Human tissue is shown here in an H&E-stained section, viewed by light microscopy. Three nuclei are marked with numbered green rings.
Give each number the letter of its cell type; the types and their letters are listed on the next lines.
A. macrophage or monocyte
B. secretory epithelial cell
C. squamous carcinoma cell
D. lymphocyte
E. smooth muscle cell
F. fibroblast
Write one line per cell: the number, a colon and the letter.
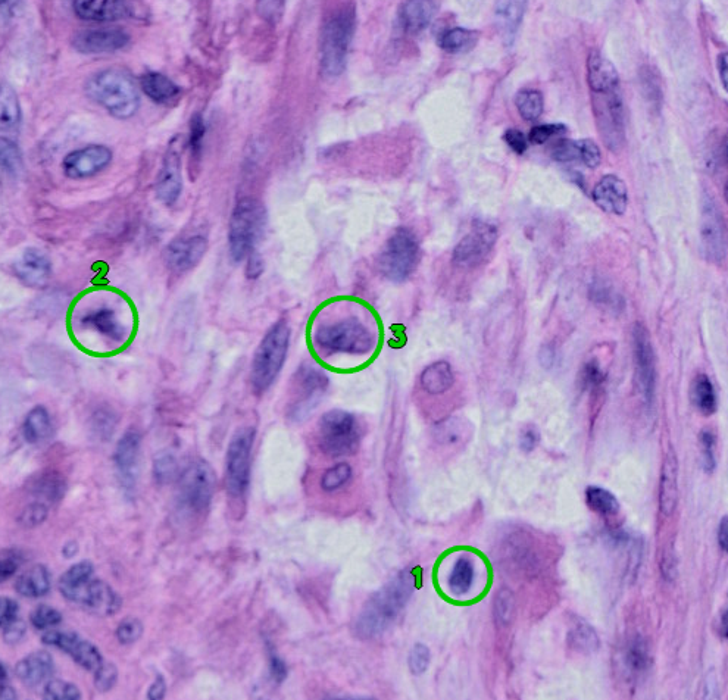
1: D
2: A
3: A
